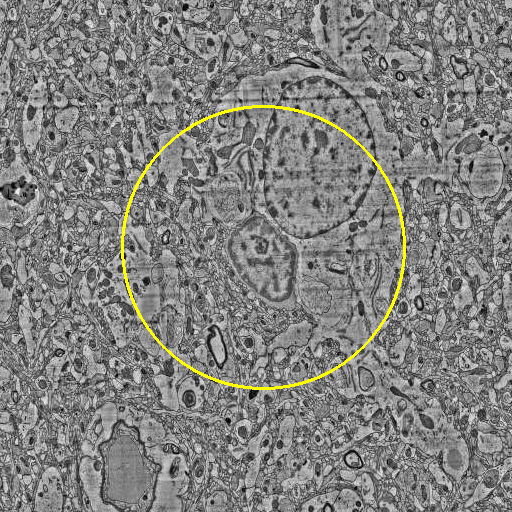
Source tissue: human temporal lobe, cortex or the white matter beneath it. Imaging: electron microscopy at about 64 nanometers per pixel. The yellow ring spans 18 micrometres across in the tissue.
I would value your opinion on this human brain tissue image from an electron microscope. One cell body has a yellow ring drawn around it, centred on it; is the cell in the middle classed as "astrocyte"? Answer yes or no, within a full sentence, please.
No, I would class the cell in the middle of the ring as a different kind.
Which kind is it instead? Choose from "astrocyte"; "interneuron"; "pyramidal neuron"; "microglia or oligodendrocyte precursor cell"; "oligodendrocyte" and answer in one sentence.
That cell in the ring is an oligodendrocyte instead.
